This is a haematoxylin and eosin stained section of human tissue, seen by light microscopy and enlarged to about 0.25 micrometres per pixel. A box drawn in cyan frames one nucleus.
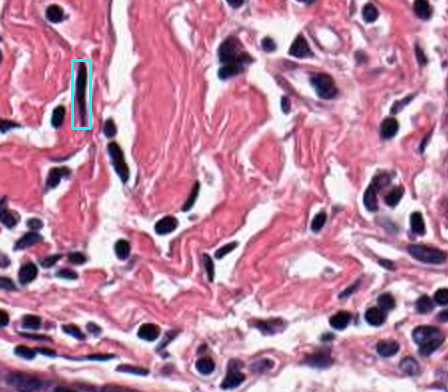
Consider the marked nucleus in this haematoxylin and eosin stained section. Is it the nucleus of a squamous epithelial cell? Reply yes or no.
no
